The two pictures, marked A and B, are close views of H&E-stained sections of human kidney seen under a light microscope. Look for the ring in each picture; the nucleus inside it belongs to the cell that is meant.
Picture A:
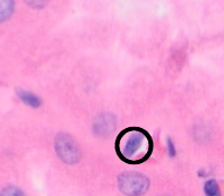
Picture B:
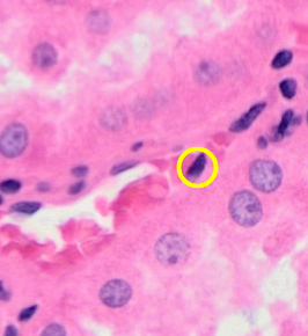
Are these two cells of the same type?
yes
